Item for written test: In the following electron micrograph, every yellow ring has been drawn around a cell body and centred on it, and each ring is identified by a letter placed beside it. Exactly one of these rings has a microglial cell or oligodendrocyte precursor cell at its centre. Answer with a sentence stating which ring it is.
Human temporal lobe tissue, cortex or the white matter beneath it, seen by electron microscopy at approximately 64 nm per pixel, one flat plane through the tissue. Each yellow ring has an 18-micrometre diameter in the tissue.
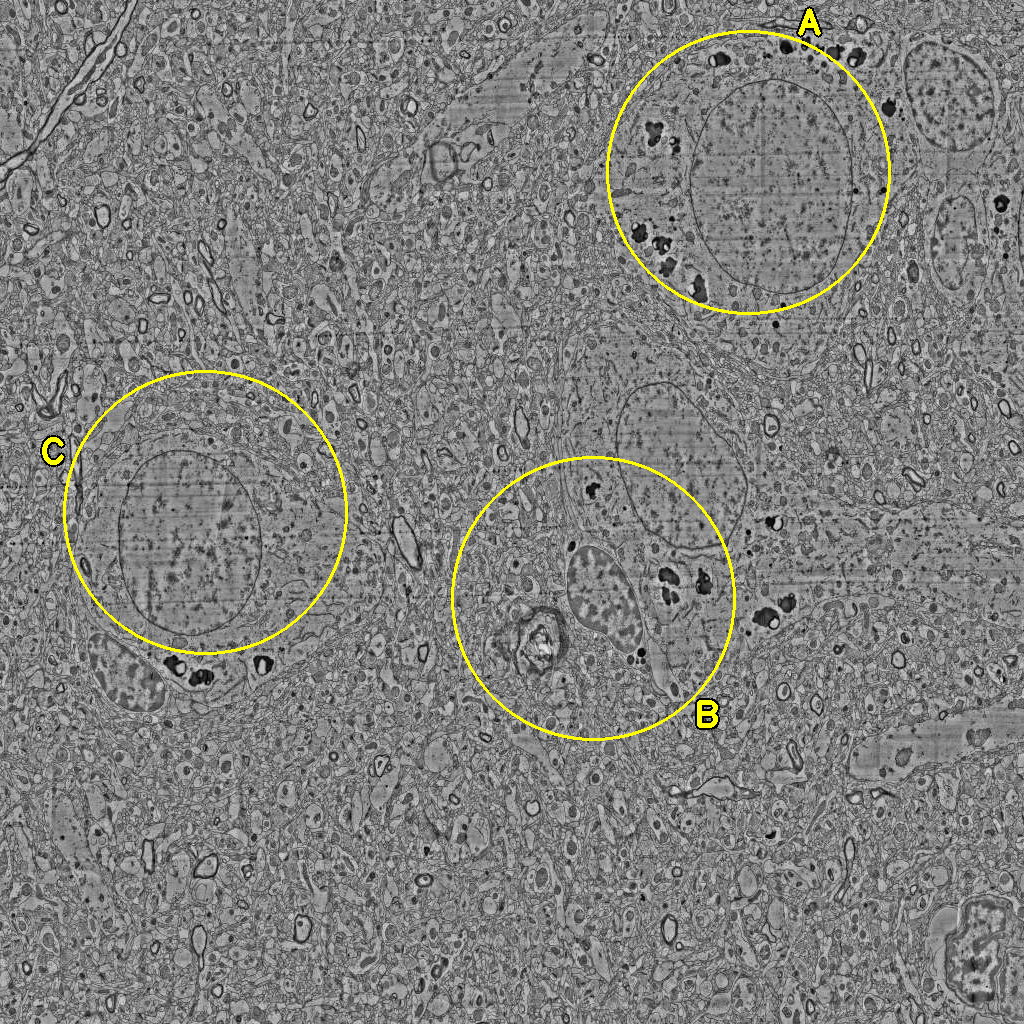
It is ring B.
